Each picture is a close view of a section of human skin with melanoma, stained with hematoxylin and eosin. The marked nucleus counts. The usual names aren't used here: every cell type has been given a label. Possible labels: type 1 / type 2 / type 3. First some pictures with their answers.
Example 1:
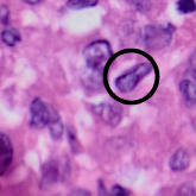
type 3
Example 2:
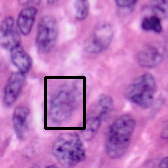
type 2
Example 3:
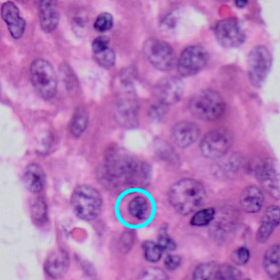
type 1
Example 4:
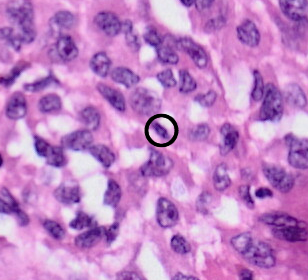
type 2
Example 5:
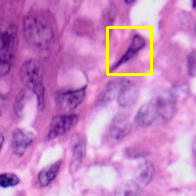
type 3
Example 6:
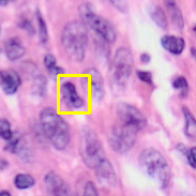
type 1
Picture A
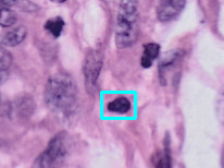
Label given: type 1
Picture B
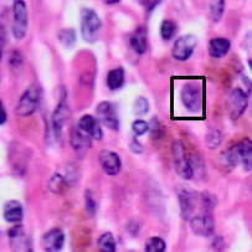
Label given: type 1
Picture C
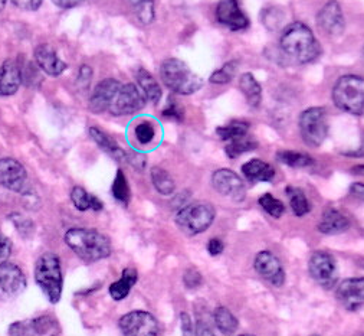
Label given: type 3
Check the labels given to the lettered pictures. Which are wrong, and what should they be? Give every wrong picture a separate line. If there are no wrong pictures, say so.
C: change type 3 to type 1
